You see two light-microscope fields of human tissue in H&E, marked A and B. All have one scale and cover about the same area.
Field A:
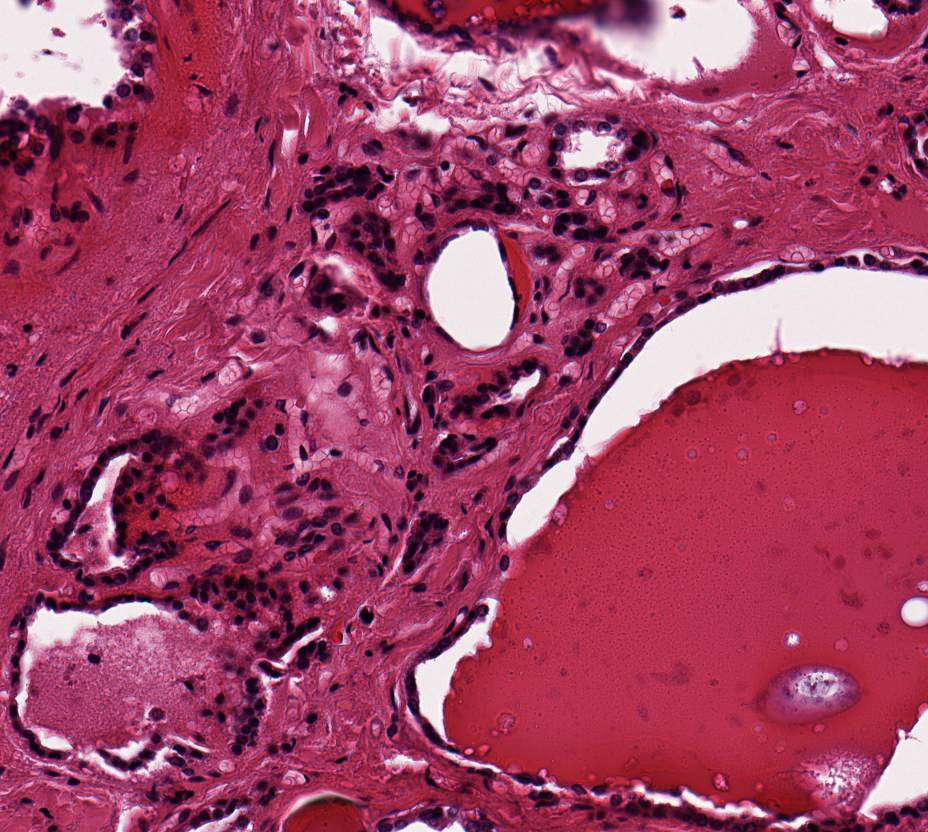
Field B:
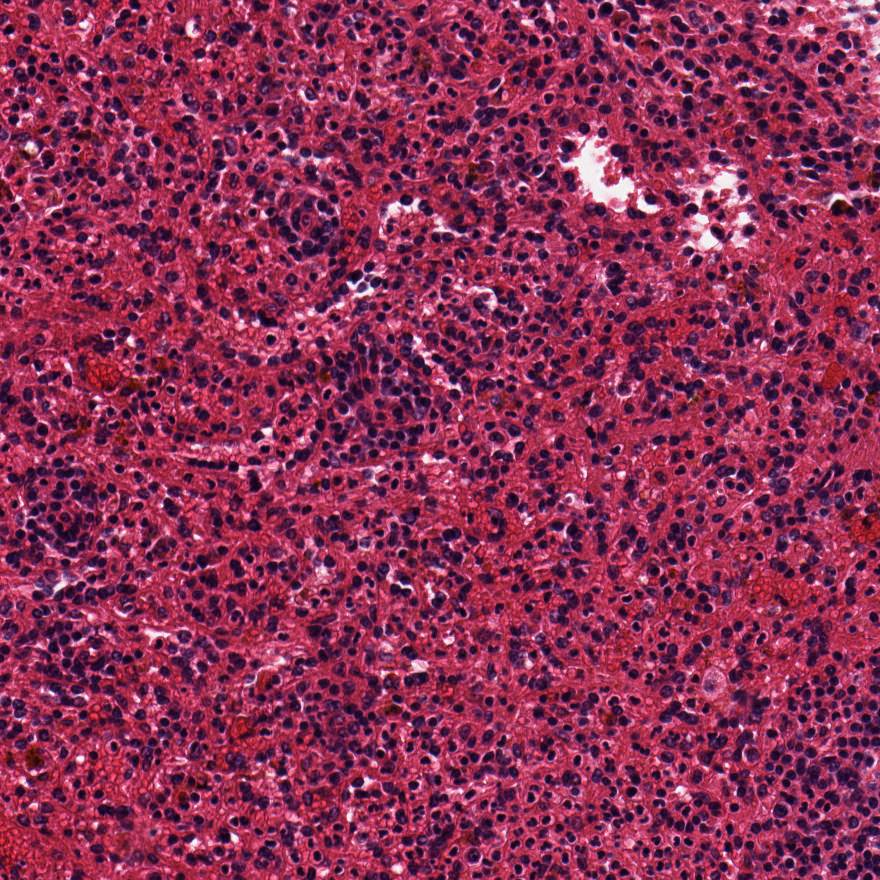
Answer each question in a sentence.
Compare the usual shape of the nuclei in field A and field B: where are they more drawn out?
On the whole the nuclei of field A are more drawn out than those of field B.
